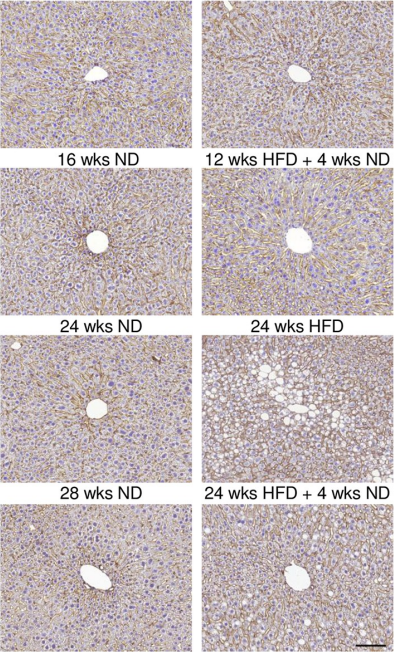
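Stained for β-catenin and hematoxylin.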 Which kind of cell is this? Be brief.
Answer: hepatocytes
